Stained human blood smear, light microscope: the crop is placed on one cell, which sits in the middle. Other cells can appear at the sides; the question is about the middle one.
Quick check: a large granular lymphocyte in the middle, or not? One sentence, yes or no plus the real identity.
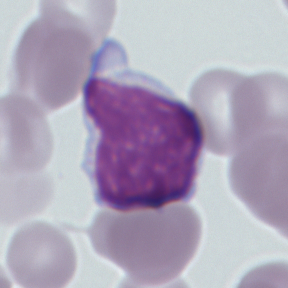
Yes, placed in the middle of the crop is a large granular lymphocyte.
